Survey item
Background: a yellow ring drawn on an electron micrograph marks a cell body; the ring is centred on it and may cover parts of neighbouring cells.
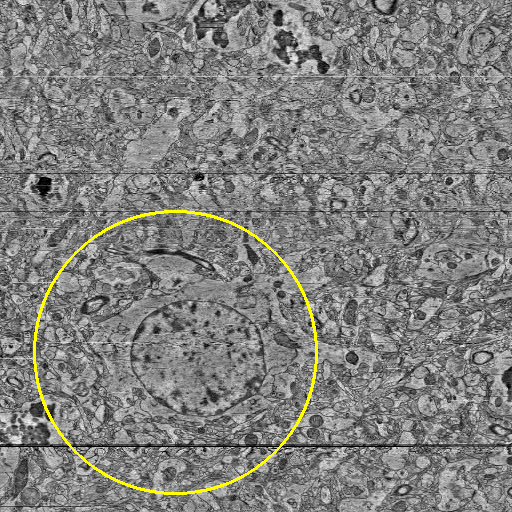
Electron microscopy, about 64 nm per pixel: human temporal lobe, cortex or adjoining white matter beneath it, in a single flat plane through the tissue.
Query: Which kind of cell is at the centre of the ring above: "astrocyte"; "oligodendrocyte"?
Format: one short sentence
The cell in the middle of the ring is an astrocyte.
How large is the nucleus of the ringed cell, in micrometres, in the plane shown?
About 8 micrometres across in this plane.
